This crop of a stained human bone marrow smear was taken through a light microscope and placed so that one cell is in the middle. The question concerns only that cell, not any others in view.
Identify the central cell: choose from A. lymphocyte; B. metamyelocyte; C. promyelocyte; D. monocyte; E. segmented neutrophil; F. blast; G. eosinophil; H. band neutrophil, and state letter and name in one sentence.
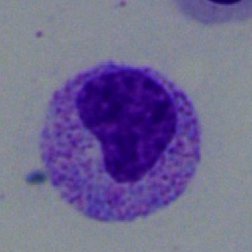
Option B holds, for the cell in the middle is a metamyelocyte.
